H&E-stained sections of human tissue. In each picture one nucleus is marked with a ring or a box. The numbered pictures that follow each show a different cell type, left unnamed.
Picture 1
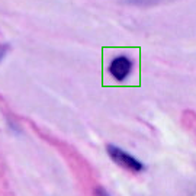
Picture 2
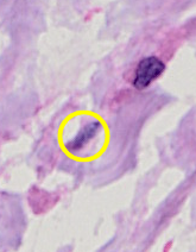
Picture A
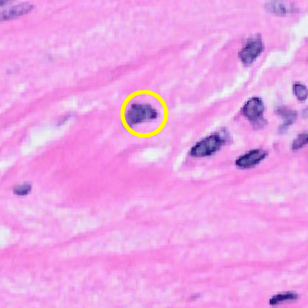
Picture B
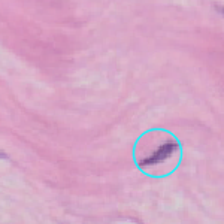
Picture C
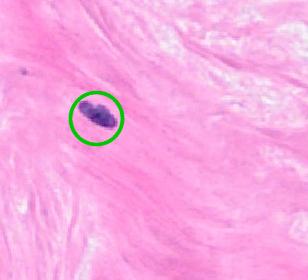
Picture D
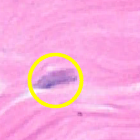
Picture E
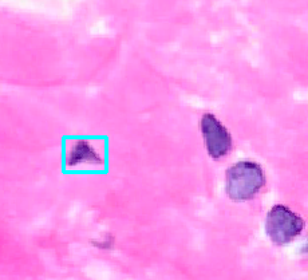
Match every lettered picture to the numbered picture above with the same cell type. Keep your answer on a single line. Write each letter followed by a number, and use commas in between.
A 1, B 2, C 1, D 2, E 2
